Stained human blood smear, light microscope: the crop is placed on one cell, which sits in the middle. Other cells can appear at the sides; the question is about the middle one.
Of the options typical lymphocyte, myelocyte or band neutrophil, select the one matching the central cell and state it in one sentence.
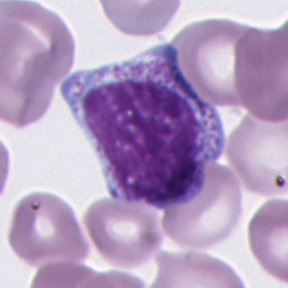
As for the cell in the middle, it is a myelocyte.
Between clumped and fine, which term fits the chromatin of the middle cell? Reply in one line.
Check the chromatin: it is fine and not coarsely clumped.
